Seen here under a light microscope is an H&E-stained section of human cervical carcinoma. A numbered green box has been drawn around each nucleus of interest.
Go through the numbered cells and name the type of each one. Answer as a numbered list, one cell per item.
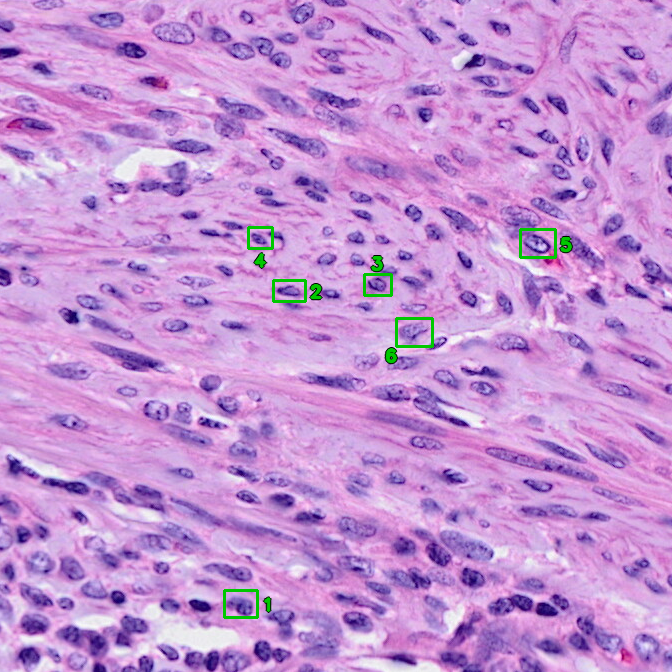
1. lymphocyte
2. smooth muscle cell
3. smooth muscle cell
4. smooth muscle cell
5. endothelial cell
6. smooth muscle cell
